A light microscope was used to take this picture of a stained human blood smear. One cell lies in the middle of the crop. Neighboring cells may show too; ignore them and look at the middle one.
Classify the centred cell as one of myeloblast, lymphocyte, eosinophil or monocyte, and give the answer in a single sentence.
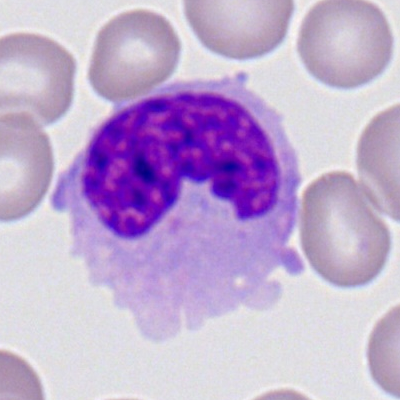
The centrally placed cell is classified as a monocyte.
